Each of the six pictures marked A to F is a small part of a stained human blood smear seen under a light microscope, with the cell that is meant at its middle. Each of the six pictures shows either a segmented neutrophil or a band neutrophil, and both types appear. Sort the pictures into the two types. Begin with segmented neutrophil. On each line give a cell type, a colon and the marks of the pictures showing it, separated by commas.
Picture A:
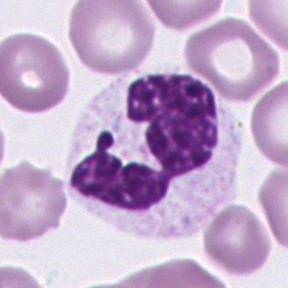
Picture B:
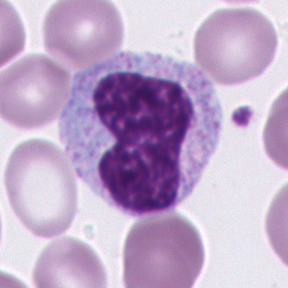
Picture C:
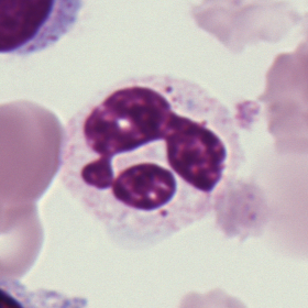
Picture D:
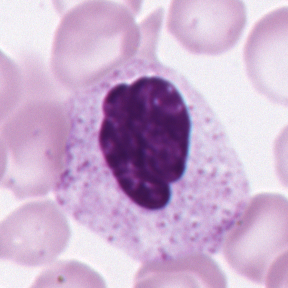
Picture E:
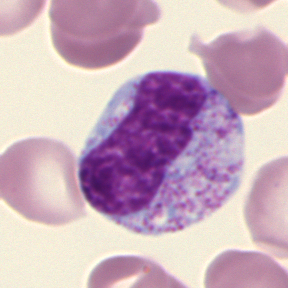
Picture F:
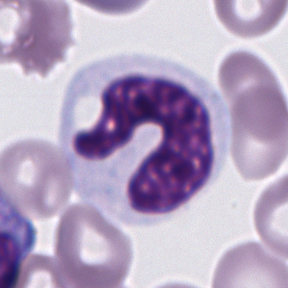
segmented neutrophil: A, C, D
band neutrophil: B, E, F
